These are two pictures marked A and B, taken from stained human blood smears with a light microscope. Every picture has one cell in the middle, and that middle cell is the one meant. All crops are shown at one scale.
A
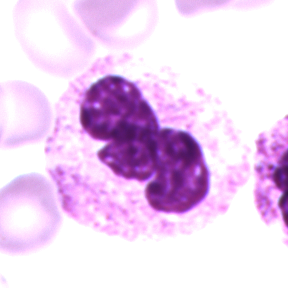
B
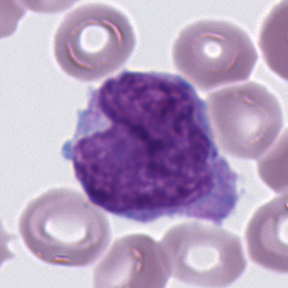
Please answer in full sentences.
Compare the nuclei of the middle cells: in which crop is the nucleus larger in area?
Larger is the nucleus in crop B, at roughly 1.5 times the area of the other.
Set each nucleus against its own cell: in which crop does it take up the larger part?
It is the cell in crop B that is filled more by its nucleus.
